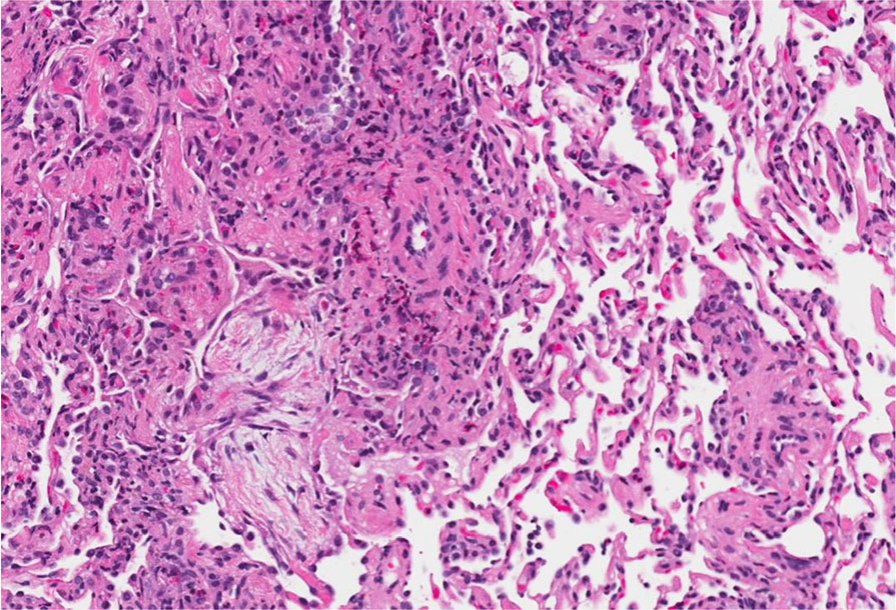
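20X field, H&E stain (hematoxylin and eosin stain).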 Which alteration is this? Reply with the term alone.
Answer: Plug of organizing pneumonia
